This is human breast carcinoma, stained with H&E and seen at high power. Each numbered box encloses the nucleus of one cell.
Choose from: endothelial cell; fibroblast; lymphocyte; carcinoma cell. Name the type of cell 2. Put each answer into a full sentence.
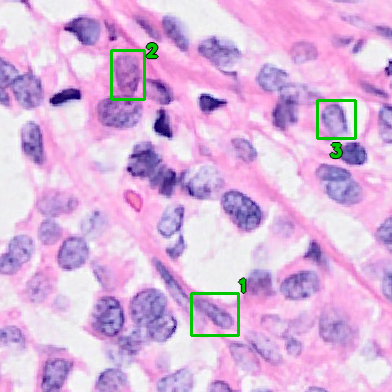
Cell 2 in the field of view is a carcinoma cell.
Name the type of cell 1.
The numeral 1 marks an endothelial cell in this section.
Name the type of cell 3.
Cell 3 of the marked set is a carcinoma cell.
